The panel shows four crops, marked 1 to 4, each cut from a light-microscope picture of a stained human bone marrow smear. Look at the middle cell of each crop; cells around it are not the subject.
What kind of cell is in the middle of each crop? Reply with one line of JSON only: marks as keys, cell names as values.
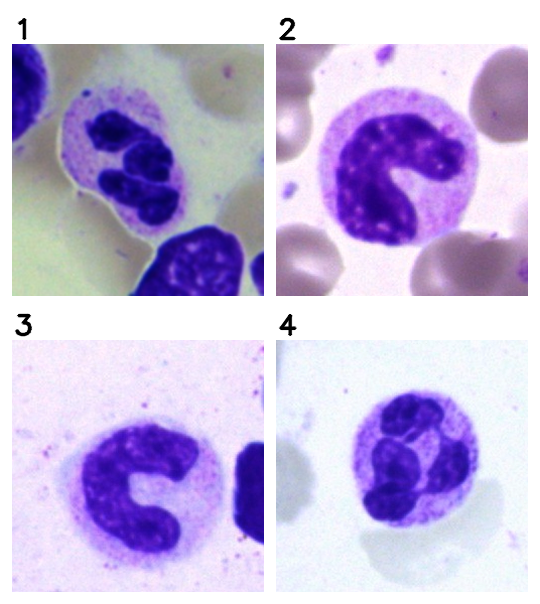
{"1": "segmented neutrophil", "2": "band neutrophil", "3": "band neutrophil", "4": "segmented neutrophil"}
